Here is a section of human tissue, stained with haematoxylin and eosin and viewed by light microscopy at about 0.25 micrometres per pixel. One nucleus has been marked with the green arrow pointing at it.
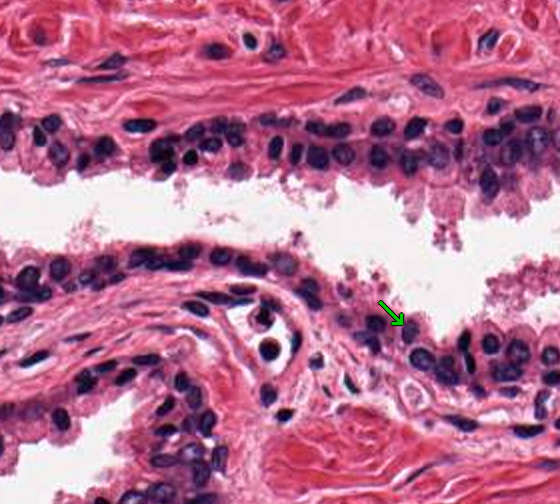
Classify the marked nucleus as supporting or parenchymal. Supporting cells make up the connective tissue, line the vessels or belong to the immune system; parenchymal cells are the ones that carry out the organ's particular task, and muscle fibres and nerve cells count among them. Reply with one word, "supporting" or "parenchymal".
parenchymal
